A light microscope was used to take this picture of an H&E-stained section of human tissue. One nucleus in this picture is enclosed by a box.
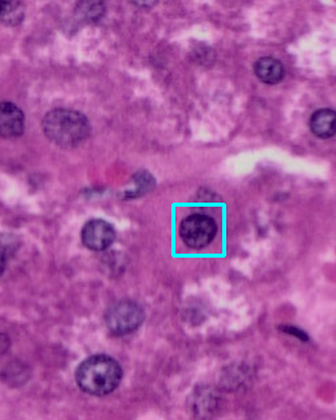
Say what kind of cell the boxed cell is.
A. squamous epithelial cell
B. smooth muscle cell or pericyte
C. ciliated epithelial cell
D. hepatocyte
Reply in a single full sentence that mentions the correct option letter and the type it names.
According to option D, the boxed cell is a hepatocyte, and this is correct.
